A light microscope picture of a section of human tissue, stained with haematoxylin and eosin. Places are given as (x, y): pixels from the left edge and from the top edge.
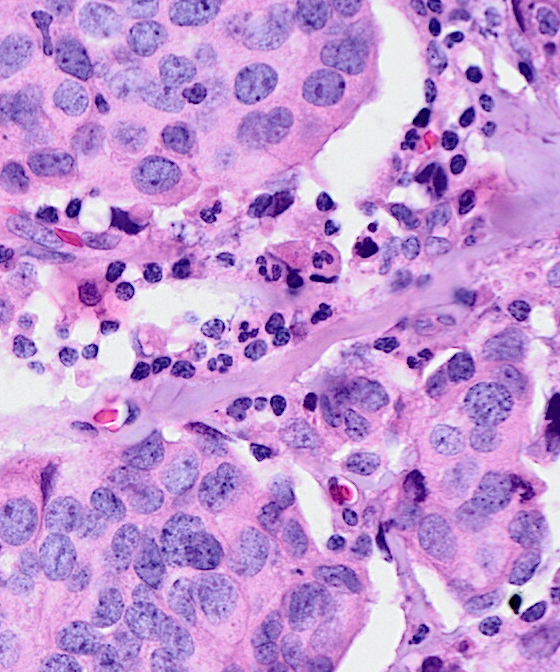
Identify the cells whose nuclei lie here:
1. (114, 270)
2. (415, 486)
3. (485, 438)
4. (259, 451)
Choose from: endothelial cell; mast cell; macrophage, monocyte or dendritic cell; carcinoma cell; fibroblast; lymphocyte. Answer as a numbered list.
1. lymphocyte
2. carcinoma cell
3. carcinoma cell
4. lymphocyte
